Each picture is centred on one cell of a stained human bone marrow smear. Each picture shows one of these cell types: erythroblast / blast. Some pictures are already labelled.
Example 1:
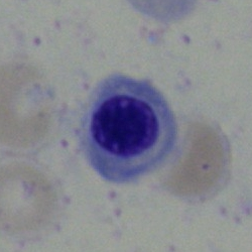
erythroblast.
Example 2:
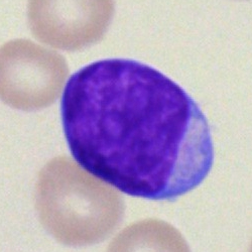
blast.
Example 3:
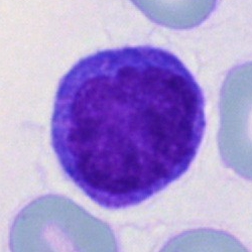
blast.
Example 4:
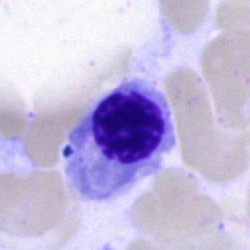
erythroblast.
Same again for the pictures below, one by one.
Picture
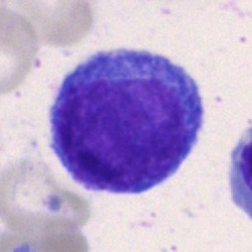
blast.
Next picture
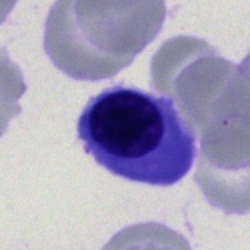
erythroblast.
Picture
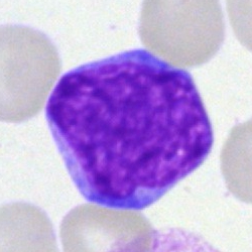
blast.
